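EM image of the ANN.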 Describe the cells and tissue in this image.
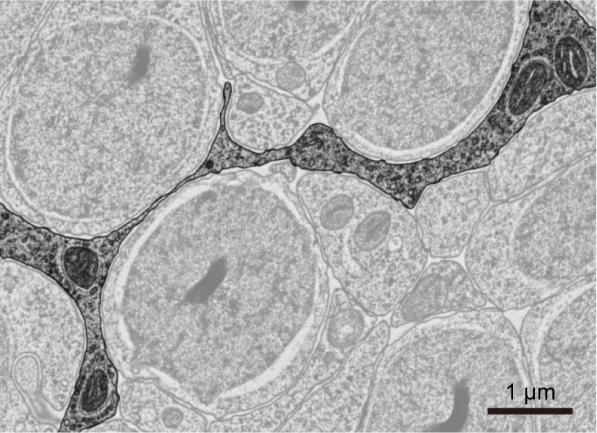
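Electron micrograph of densely packed rounded cells with large pale nuclei, between which dark, electron-dense nerve-net processes run. The processes spread as thin sheets that wedge into the spaces between the surrounding cells, and their thicker parts contain large mitochondria with internal membrane folds.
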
